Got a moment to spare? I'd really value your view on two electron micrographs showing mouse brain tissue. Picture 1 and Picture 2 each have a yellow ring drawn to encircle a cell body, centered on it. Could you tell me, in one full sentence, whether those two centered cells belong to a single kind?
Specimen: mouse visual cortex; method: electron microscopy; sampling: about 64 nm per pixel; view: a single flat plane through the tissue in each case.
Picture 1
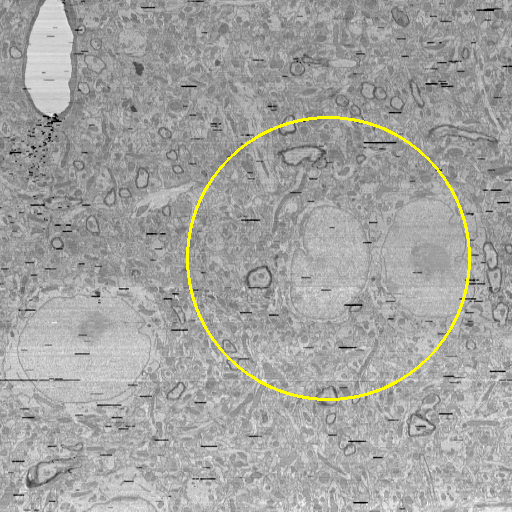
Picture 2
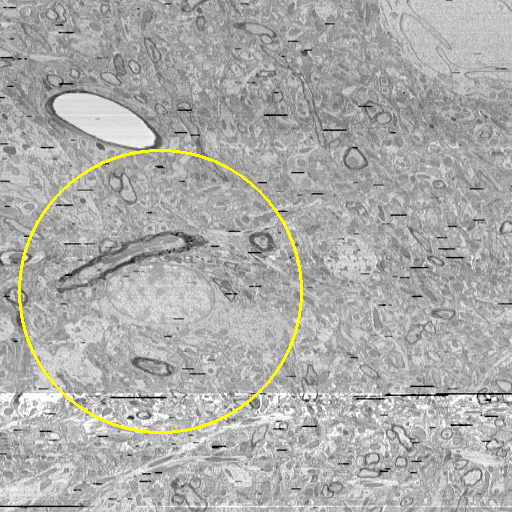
No, the two centered cells in Picture 1 and Picture 2 are of two kinds.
